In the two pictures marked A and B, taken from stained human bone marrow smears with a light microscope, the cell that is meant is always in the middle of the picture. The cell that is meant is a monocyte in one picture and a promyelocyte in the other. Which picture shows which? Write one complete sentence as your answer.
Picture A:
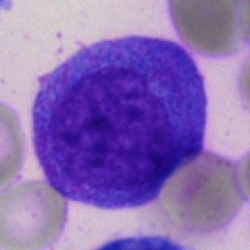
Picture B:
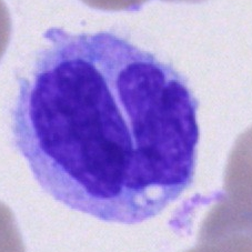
The cell in picture A is a promyelocyte, and the one in picture B is a monocyte.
